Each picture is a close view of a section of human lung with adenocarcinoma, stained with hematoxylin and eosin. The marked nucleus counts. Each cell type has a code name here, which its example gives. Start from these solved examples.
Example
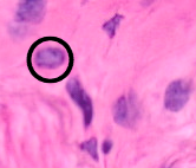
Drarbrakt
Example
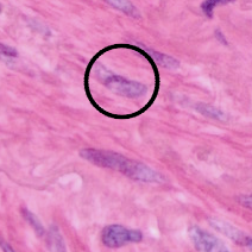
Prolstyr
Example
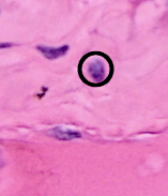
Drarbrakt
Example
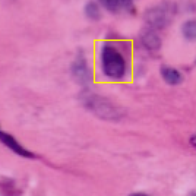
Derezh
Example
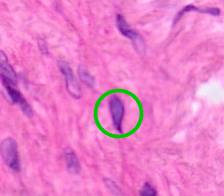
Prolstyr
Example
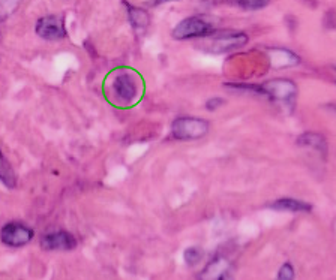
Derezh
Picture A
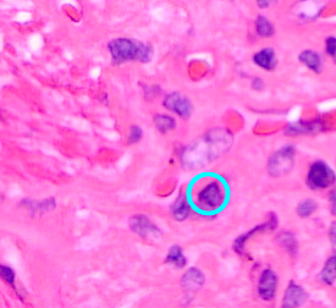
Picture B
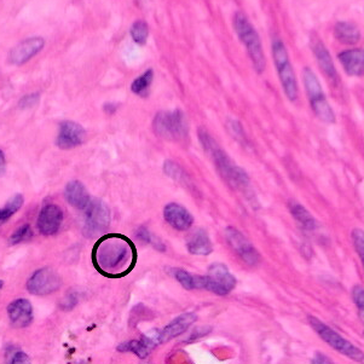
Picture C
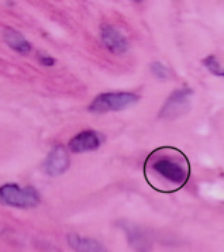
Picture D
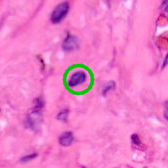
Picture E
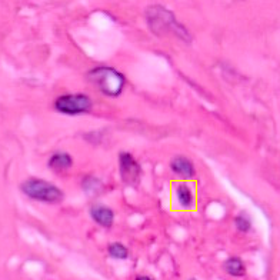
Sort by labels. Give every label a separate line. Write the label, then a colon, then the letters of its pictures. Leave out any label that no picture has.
Drarbrakt: D
Prolstyr: E
Derezh: A, B, C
